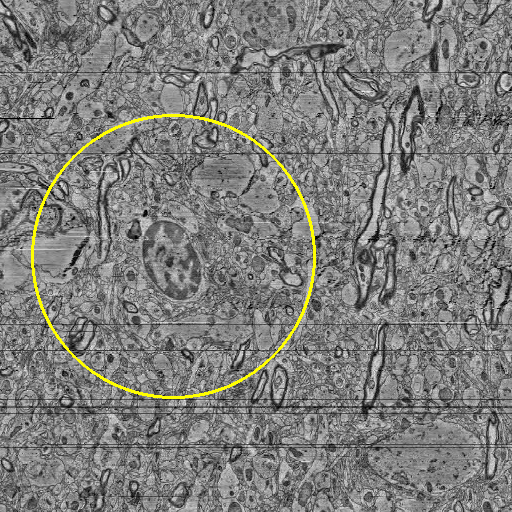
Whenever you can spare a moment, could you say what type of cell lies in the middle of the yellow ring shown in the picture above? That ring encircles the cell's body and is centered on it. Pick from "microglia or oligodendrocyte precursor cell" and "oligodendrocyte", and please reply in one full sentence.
The cell whose body sits at the middle of the yellow ring is a microglial cell or oligodendrocyte precursor cell.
